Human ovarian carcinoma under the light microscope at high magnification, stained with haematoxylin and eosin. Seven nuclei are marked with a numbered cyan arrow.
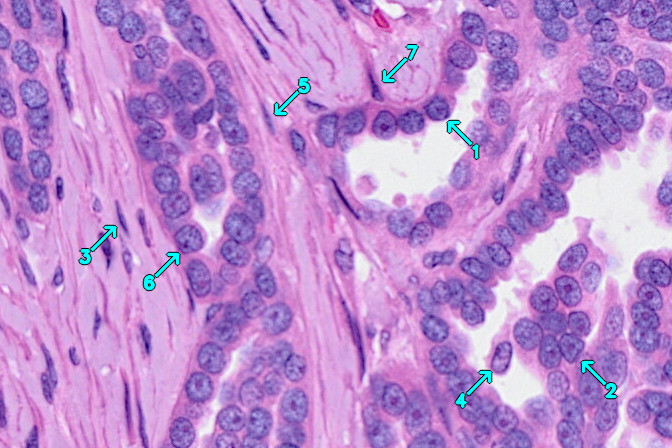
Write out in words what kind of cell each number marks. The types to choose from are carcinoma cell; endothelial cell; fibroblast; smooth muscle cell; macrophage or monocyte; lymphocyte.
Cell 1 is a carcinoma cell, cell 2 is a carcinoma cell, cell 3 is a fibroblast, cell 4 is a macrophage or monocyte, cell 5 is a fibroblast, cell 6 is a carcinoma cell and cell 7 is a fibroblast.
